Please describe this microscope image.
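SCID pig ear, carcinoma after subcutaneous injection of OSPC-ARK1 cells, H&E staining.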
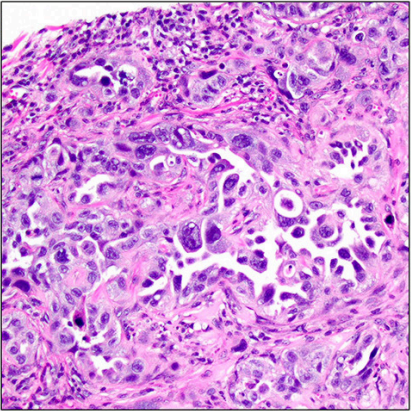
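The nuclei are large, hyperchromatic and strikingly variable in size and shape, some with prominent nucleoli. The cytoplasm is moderate and pale pink to violet. Pink fibrous stroma with spindle-shaped cells surrounds the tumour cell nests. Along the upper edge lies a dense band of small dark round cells.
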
